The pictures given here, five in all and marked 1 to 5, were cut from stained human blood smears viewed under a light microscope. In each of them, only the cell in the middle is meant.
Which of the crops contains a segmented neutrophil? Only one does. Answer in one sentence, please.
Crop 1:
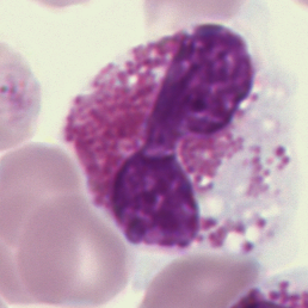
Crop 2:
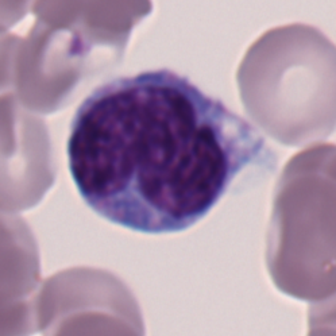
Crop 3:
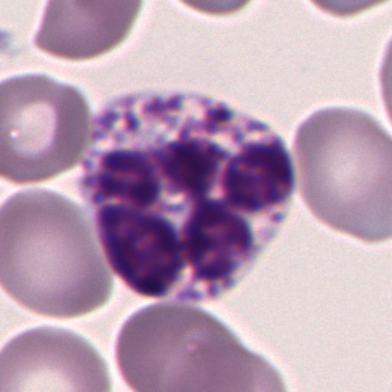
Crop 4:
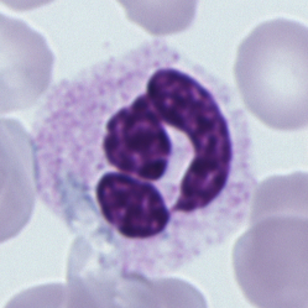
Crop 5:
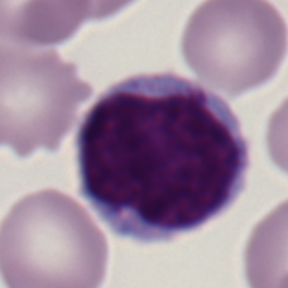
Of the labelled crops, the one that shows a segmented neutrophil is crop 4.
